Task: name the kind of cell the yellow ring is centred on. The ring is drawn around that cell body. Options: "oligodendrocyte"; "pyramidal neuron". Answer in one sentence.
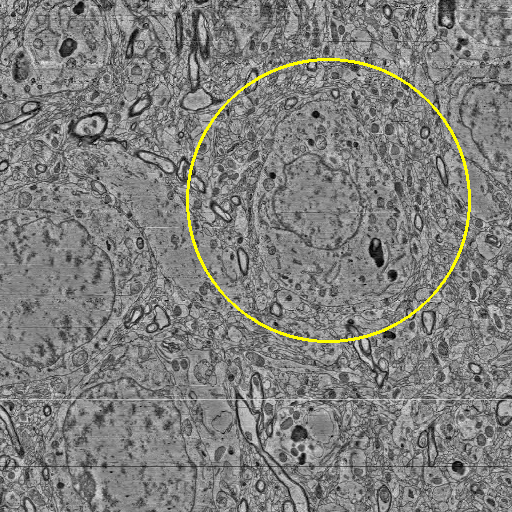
This cell body belongs to a pyramidal neuron.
